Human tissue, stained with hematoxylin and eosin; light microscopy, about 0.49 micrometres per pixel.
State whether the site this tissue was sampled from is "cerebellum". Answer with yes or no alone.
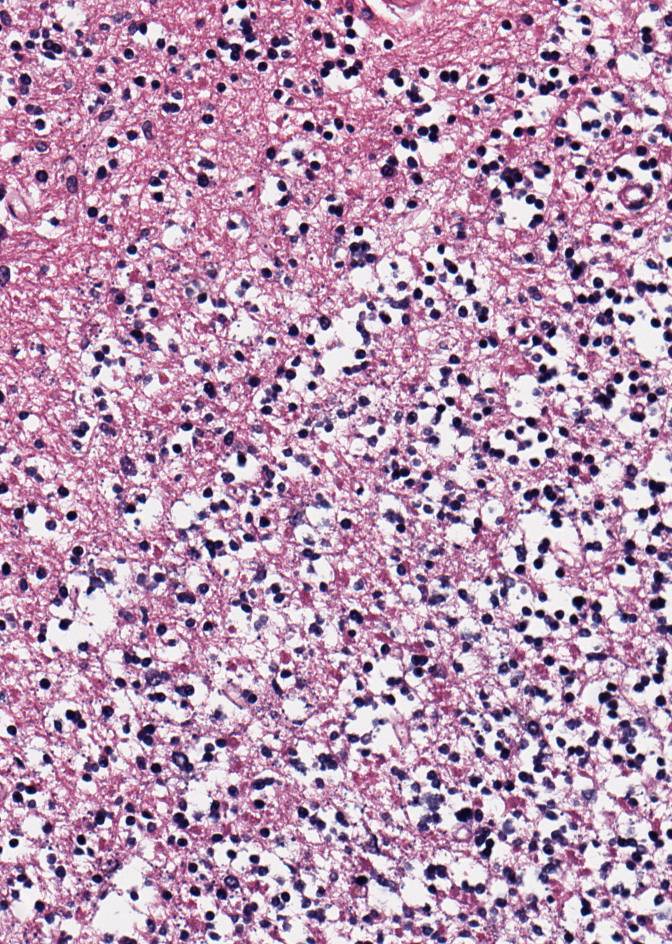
yes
